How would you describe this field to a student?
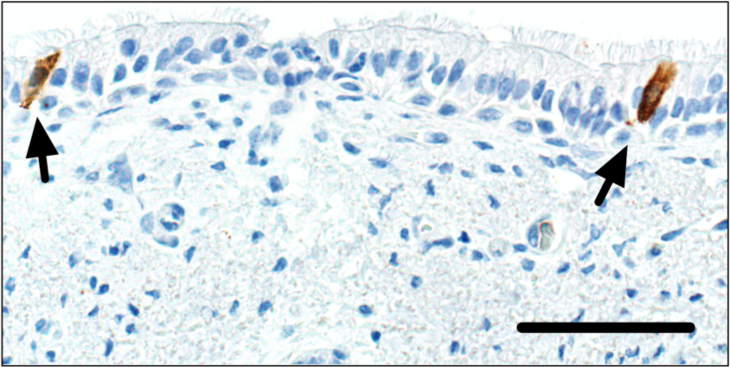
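The epithelium is tall and pseudostratified, with nuclei at several levels and a fringe of fine cilia along the luminal surface. The two brown cells are narrow and elongated, each lying singly and stretching through the depth of the epithelium. Below the epithelium lies loose connective tissue with scattered blue nuclei and small vessels.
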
